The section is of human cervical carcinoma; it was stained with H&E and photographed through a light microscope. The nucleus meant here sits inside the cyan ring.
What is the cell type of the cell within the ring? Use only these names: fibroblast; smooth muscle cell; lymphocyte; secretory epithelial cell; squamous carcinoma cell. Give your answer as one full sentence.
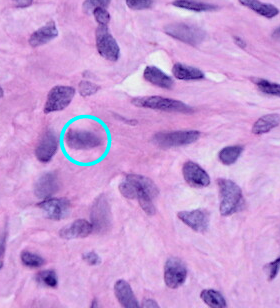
The expected answer is simply that the cell within the ring is a fibroblast.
